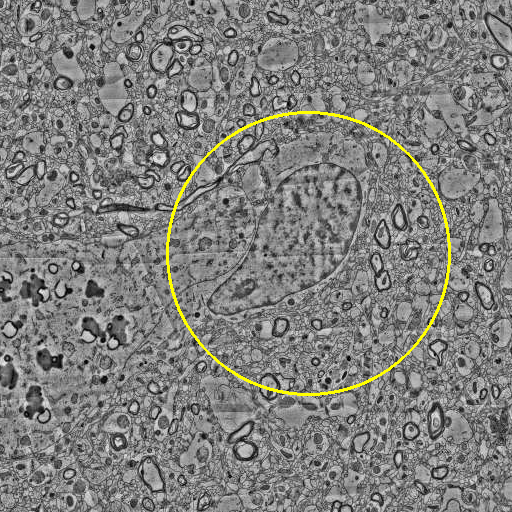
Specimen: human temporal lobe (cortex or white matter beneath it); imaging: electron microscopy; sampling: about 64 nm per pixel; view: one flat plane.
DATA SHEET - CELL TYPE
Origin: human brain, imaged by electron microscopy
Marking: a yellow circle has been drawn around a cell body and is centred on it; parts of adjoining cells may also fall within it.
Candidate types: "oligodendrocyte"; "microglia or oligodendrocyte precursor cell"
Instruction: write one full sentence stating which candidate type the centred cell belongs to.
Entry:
The cell body at the centre of the yellow ring in this micrograph belongs to a microglial cell or oligodendrocyte precursor cell.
